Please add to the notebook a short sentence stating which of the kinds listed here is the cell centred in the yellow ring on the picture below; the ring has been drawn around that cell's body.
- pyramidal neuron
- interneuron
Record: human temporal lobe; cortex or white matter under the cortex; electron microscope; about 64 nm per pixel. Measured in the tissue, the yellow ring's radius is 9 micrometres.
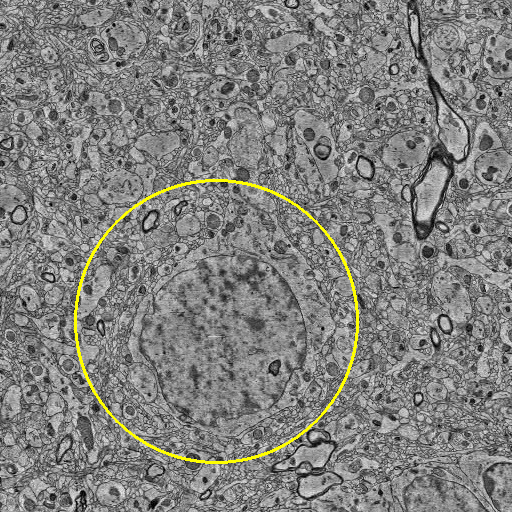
The cell centred in the yellow ring is an interneuron.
